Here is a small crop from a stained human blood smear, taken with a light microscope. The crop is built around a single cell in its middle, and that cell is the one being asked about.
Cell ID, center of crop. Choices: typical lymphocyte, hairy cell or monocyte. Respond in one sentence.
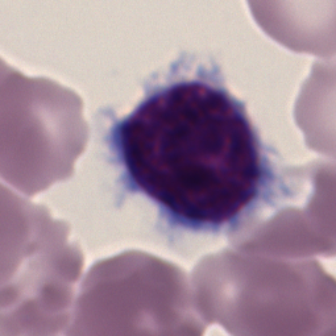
Answering briefly, the cell in the middle is a hairy cell.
